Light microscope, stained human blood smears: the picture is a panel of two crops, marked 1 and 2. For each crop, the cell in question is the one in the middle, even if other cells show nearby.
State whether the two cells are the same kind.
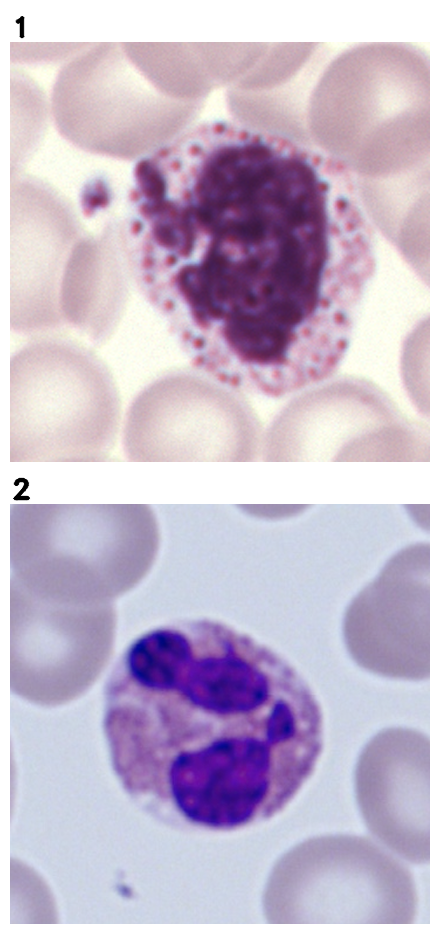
no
